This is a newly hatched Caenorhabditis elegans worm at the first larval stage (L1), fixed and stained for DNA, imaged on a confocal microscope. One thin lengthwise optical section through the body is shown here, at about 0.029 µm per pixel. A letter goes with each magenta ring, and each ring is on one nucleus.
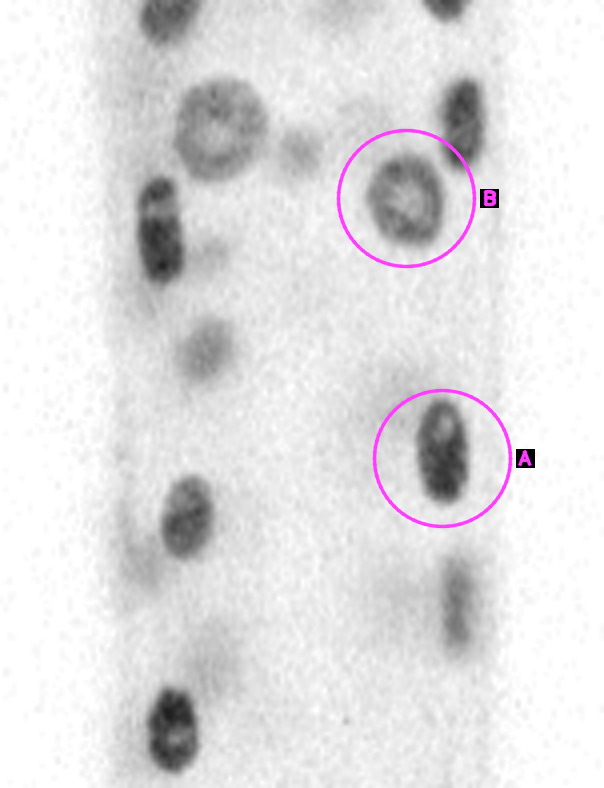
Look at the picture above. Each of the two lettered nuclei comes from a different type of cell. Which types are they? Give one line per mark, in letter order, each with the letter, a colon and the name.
A: body wall muscle cell
B: intestinal cell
